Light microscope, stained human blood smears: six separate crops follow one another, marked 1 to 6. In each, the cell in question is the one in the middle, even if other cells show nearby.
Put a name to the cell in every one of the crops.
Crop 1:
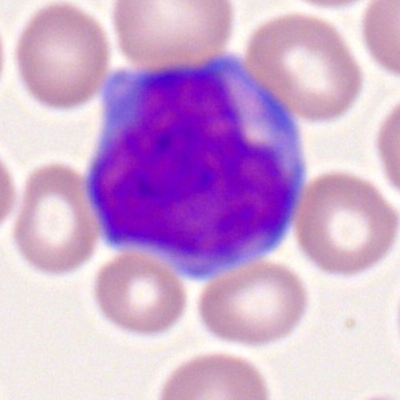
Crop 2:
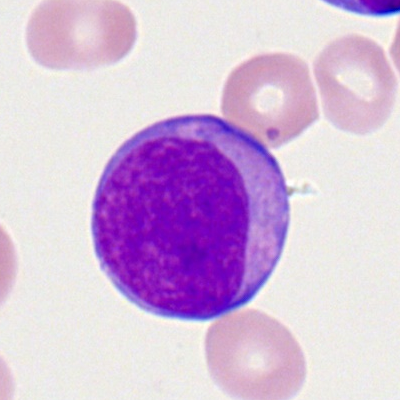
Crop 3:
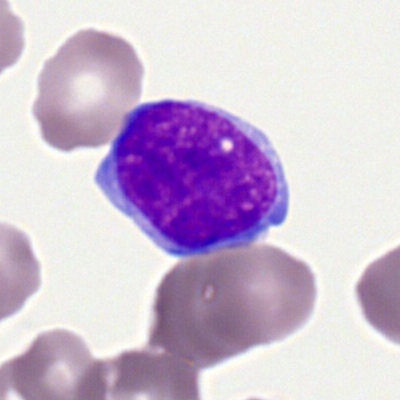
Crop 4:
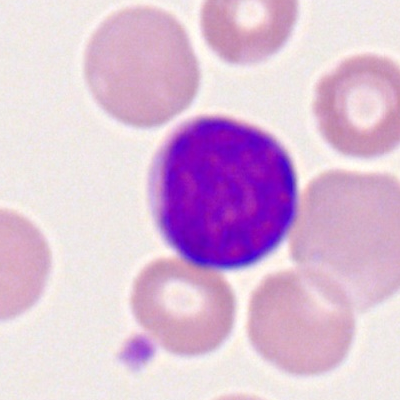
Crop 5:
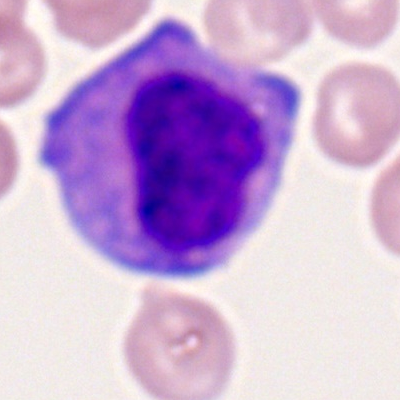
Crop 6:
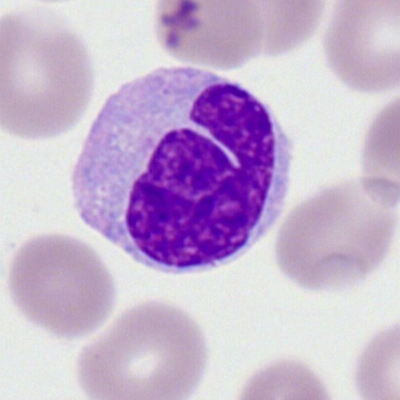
1: myeloblast
2: myeloblast
3: myeloblast
4: lymphocyte
5: myeloblast
6: monocyte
